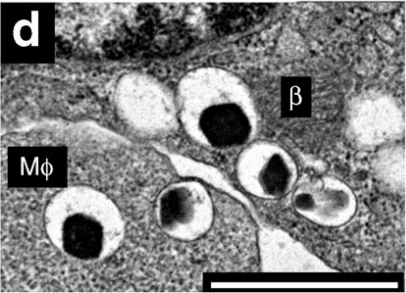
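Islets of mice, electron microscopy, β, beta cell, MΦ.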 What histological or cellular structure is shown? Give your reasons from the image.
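Round vesicles each with a dark angular core surrounded by a pale halo. Such granules lie in both adjoining cells. On this evidence: insulin granules.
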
